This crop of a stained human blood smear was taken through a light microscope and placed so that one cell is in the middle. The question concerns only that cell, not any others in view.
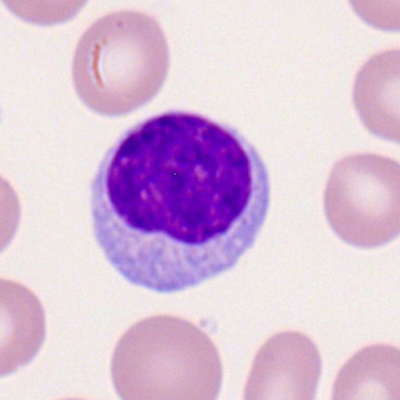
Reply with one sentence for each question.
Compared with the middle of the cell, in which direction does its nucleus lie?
Seen from the middle of the cell, the nucleus lies toward the top.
